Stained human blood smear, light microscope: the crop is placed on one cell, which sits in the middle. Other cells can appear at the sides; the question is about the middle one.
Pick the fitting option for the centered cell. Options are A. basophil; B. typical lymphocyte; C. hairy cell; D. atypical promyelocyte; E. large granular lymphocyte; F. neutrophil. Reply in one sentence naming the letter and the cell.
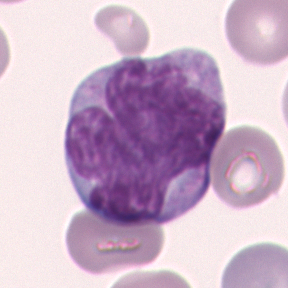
Option D gives the correct identity of the central cell, namely an atypical promyelocyte.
